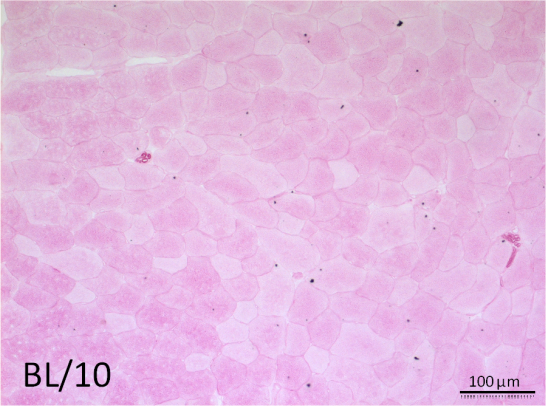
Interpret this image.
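This cross-section of skeletal muscle shows tightly packed polygonal muscle fibres of fairly even size, separated by thin pale boundaries. The fibres are stained a light, fairly uniform pink, with a finely speckled texture in their cytoplasm.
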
